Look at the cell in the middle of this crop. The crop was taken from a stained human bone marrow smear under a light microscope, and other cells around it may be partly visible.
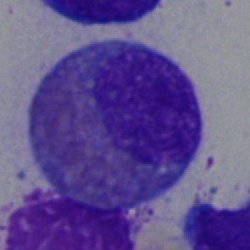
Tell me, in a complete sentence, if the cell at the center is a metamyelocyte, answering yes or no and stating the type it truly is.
No, the centred cell is an eosinophil instead of a metamyelocyte.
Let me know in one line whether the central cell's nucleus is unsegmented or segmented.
The nucleus is one compact mass, round, oval or kidney-shaped in outline.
